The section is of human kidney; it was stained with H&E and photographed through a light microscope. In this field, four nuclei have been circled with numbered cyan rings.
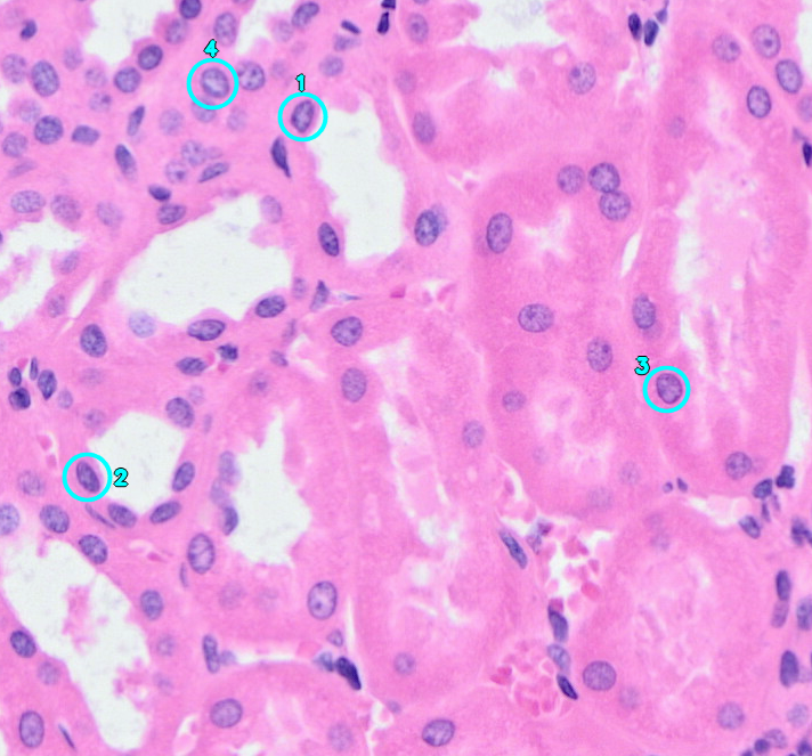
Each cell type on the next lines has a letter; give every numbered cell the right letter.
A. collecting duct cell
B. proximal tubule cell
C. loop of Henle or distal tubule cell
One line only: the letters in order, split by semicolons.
C; C; B; C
